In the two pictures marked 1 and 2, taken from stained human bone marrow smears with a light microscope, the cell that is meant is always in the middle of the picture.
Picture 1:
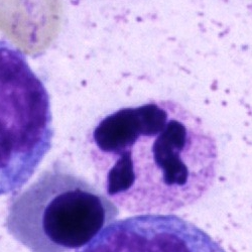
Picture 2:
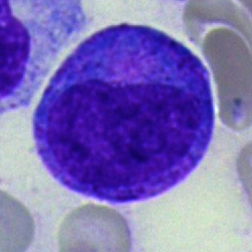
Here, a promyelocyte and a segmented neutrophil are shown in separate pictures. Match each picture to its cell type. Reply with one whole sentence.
It is picture 1 that shows a segmented neutrophil, and picture 2 that shows a promyelocyte.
